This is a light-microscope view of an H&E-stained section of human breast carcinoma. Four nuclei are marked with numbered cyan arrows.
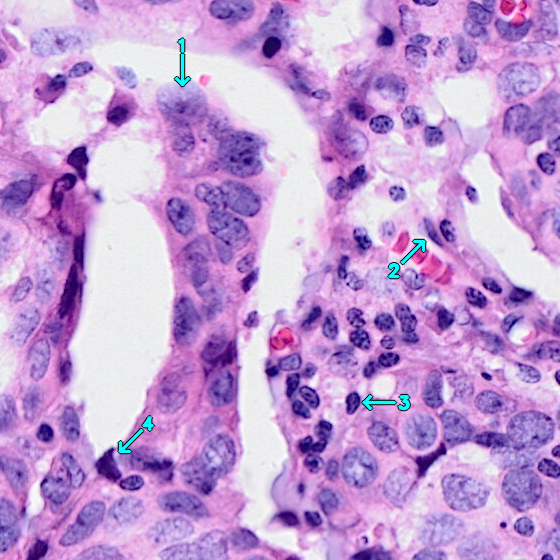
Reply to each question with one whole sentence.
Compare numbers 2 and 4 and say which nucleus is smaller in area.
The smaller nucleus is 2, and 4 covers roughly 2.5 times its area.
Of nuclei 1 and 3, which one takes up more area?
Nucleus 1 is the larger one, covering about 4 times the area of nucleus 3.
